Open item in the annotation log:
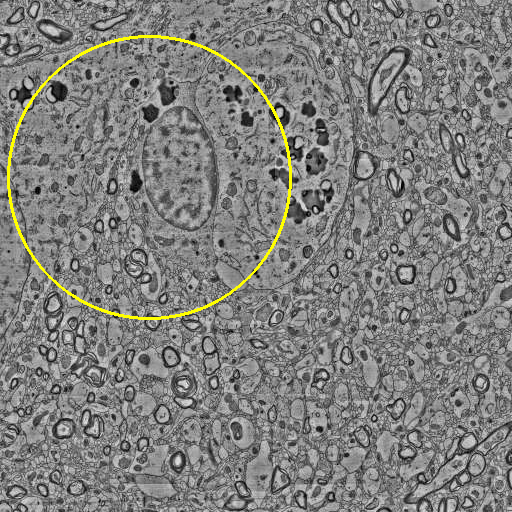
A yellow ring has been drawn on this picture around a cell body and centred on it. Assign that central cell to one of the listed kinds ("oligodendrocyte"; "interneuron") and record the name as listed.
oligodendrocyte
